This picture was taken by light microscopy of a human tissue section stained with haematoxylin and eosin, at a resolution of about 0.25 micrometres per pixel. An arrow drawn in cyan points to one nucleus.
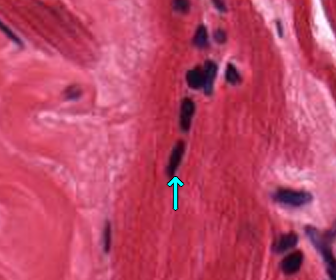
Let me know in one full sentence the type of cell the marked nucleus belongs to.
The mark indicates the nucleus of a skeletal muscle fibre.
